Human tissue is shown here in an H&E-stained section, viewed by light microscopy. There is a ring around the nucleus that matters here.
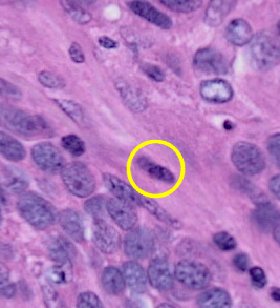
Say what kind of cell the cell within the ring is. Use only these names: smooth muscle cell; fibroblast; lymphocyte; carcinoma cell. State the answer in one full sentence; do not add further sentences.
In the context of this tissue, the cell within the ring is a lymphocyte.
